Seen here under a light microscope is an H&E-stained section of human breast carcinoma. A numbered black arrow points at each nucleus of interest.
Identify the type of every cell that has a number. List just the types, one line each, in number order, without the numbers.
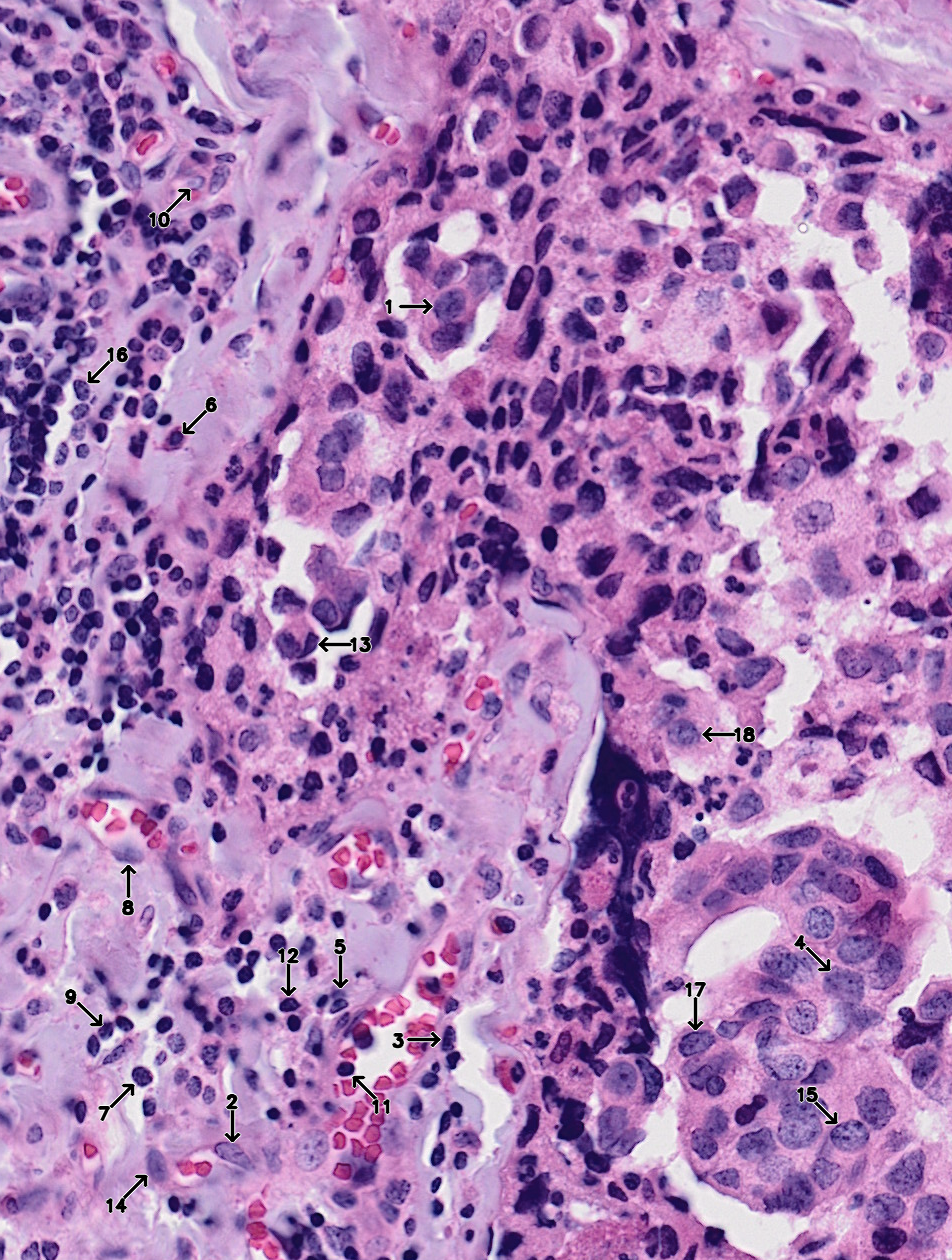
carcinoma cell
endothelial cell
lymphocyte
carcinoma cell
lymphocyte
mast cell
lymphocyte
endothelial cell
lymphocyte
endothelial cell
lymphocyte
lymphocyte
carcinoma cell
endothelial cell
carcinoma cell
lymphocyte
carcinoma cell
carcinoma cell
